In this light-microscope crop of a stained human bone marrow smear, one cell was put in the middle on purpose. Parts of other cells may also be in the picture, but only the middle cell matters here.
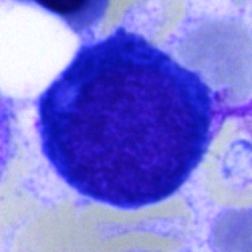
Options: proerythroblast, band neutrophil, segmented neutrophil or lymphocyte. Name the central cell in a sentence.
The cell at the heart of this crop is a proerythroblast.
